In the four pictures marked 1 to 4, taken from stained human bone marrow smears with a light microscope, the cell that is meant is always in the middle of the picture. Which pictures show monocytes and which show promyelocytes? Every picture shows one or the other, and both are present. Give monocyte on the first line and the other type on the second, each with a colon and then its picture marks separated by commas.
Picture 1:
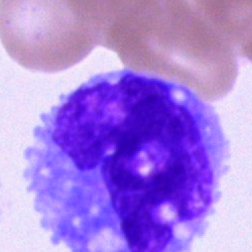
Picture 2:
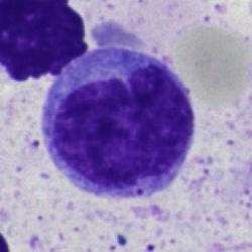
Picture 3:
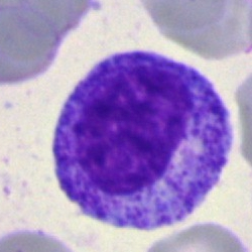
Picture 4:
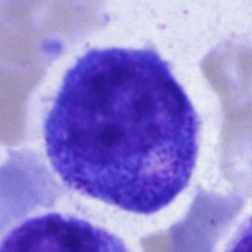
monocyte: 1, 2
promyelocyte: 3, 4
